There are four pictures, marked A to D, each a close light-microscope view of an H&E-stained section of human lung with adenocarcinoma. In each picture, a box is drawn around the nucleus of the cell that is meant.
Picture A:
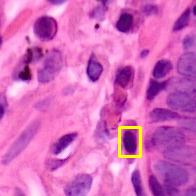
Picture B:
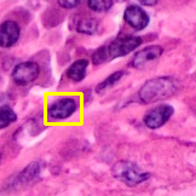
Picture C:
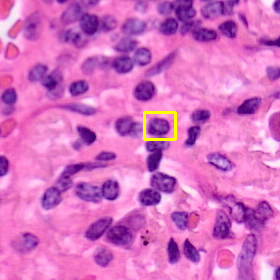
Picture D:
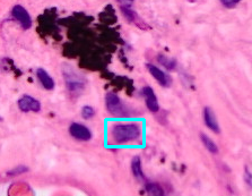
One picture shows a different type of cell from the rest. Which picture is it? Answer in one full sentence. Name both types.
All pictures except C show plasma cells; picture C shows a lymphocyte.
